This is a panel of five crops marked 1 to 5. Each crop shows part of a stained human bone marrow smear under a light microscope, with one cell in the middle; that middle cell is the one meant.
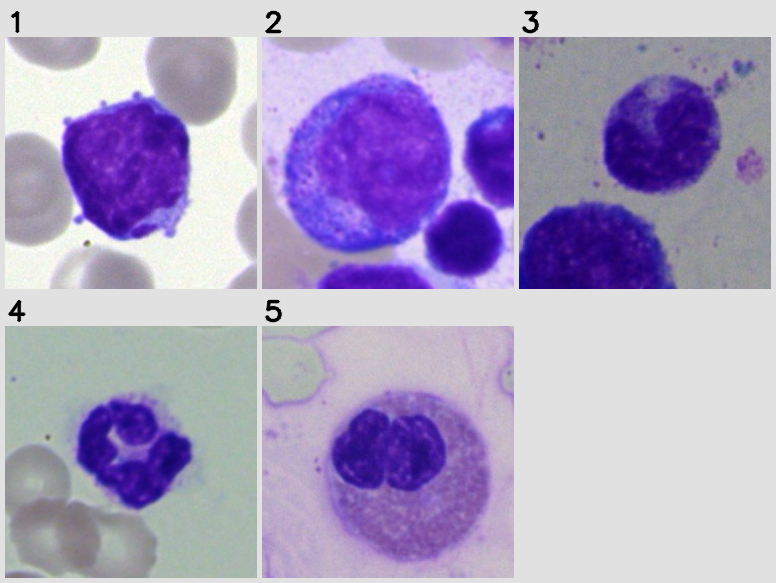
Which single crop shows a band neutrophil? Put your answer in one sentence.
Of the labelled crops, the one that shows a band neutrophil is crop 3.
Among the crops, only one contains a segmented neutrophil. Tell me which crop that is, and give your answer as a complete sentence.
Crop 4 is the correct crop, and it shows a segmented neutrophil.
